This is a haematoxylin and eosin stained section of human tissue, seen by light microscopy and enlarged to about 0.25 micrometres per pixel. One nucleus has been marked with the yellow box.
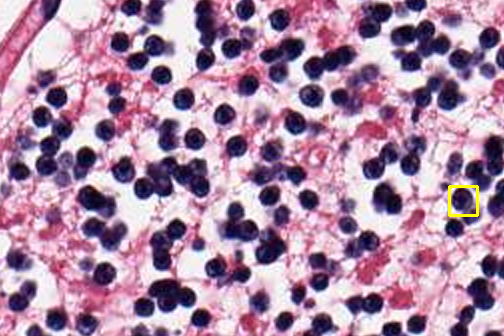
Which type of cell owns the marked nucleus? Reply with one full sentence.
The nucleus marked in this picture belongs to a cerebellar granule cell.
